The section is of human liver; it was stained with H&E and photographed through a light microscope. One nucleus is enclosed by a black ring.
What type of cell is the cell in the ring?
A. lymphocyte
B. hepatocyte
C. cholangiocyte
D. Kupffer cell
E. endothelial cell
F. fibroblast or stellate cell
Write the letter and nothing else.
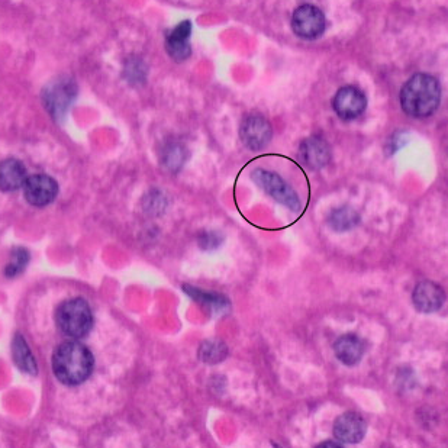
D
